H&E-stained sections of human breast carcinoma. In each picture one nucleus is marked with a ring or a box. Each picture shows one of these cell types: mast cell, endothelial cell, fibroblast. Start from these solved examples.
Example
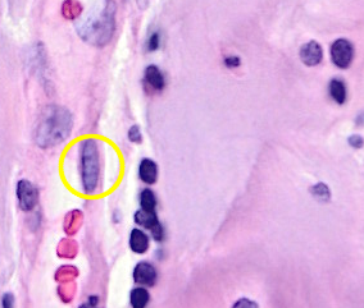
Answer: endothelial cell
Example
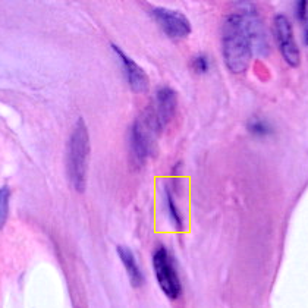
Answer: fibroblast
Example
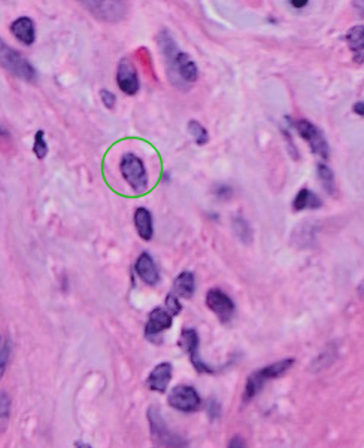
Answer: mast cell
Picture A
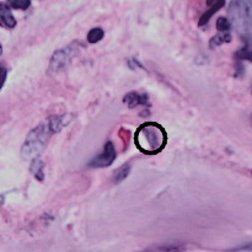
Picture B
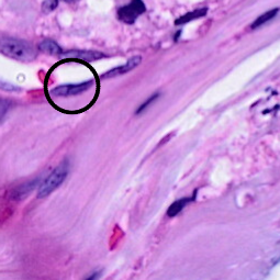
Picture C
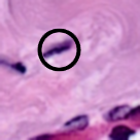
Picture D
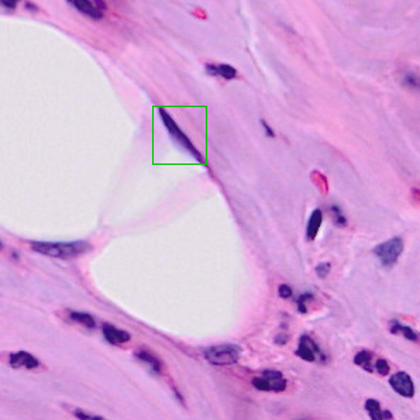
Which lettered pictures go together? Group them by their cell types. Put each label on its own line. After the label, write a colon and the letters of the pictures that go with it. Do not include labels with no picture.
endothelial cell: A, B
fibroblast: C, D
